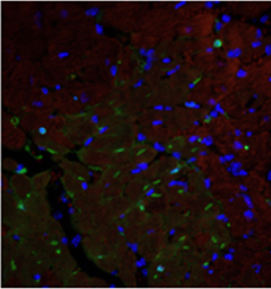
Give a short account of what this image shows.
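Blue nuclei are scattered throughout; many are oval or elongated and lie along the fibres. A fair number of nuclei carry green label, appearing as small bright green or blue-green spots and short streaks distributed across the field, and there is also a faint diffuse green haze over parts of the tissue.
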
